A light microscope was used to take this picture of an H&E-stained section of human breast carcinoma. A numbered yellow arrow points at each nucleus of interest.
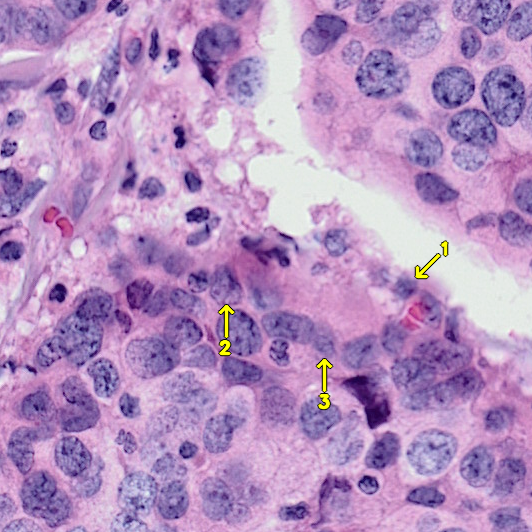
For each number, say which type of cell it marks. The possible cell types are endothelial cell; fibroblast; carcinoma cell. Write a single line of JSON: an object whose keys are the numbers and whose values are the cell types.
{"1": "endothelial cell", "2": "carcinoma cell", "3": "carcinoma cell"}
